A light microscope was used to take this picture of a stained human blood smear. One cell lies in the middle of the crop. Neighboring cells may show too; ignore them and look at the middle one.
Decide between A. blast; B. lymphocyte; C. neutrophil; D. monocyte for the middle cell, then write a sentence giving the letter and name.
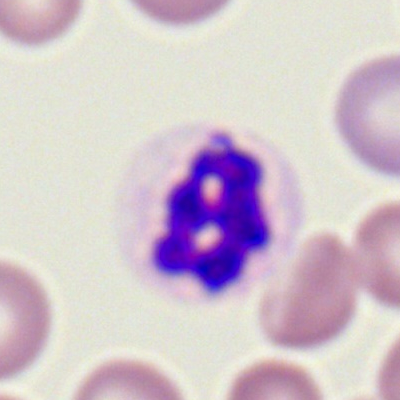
The cell centred in the crop is a neutrophil, and the correct option is thus C.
